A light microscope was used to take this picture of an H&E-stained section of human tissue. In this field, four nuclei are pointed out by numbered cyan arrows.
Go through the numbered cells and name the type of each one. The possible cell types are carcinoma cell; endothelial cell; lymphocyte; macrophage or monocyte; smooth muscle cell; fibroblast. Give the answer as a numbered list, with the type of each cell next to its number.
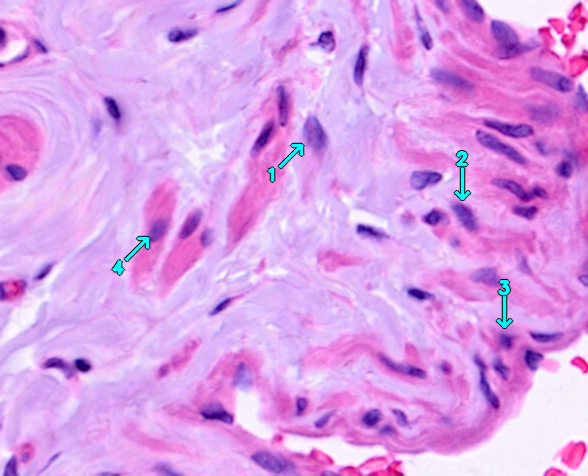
1. fibroblast
2. smooth muscle cell
3. smooth muscle cell
4. smooth muscle cell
